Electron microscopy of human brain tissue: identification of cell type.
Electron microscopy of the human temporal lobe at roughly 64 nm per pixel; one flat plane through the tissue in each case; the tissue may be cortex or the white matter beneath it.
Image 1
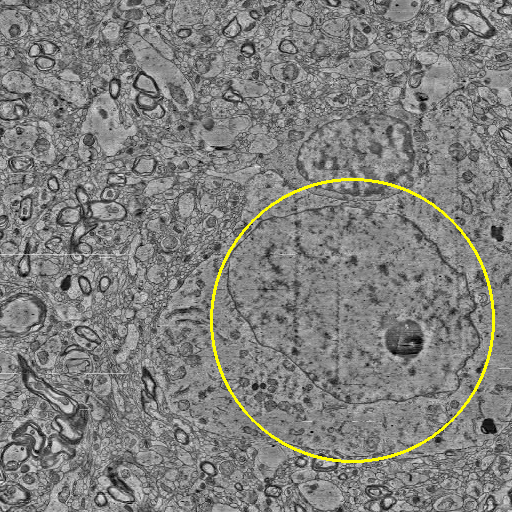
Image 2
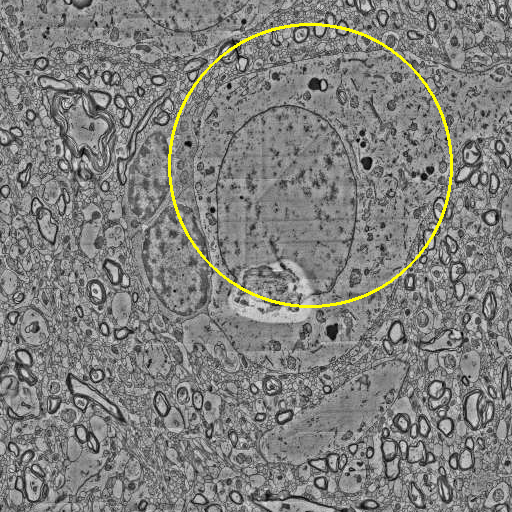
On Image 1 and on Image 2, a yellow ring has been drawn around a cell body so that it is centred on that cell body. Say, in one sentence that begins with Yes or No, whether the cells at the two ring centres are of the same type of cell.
Yes, both cells are the same type of cell.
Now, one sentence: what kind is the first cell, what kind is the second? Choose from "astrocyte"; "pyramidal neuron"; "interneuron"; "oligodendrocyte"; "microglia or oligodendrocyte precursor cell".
In each of the two pictures, the ringed cell is a pyramidal neuron.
